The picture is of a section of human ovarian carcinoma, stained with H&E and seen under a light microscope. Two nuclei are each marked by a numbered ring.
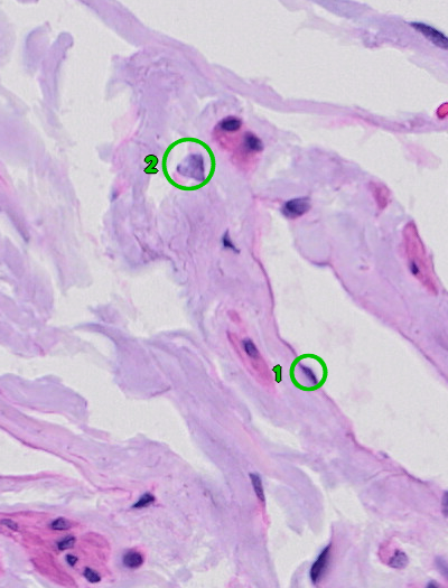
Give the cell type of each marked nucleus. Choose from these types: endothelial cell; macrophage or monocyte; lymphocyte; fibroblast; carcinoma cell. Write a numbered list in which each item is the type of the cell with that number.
1. endothelial cell
2. fibroblast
